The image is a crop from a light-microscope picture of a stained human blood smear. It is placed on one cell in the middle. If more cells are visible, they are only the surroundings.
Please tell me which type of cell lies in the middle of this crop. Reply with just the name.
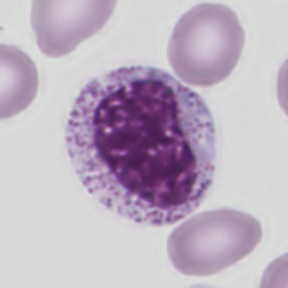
metamyelocyte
